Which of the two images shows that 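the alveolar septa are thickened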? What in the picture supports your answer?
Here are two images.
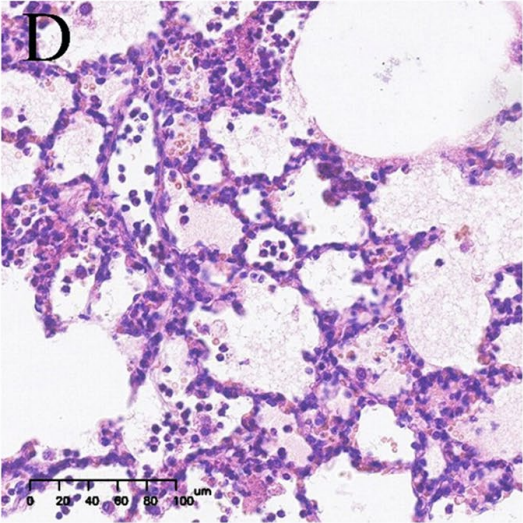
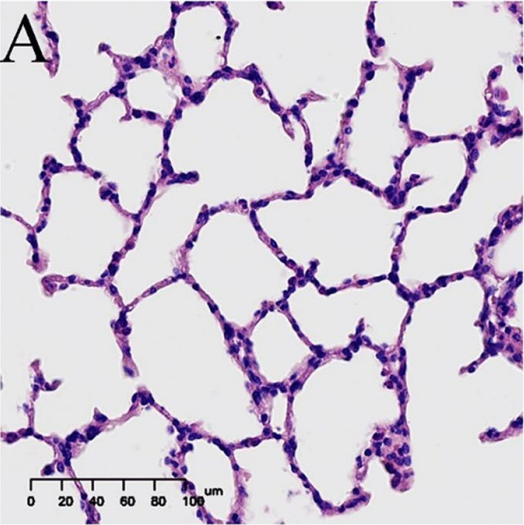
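The first image. First image: walls between air spaces are broad and densely packed with nuclei and red cells.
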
